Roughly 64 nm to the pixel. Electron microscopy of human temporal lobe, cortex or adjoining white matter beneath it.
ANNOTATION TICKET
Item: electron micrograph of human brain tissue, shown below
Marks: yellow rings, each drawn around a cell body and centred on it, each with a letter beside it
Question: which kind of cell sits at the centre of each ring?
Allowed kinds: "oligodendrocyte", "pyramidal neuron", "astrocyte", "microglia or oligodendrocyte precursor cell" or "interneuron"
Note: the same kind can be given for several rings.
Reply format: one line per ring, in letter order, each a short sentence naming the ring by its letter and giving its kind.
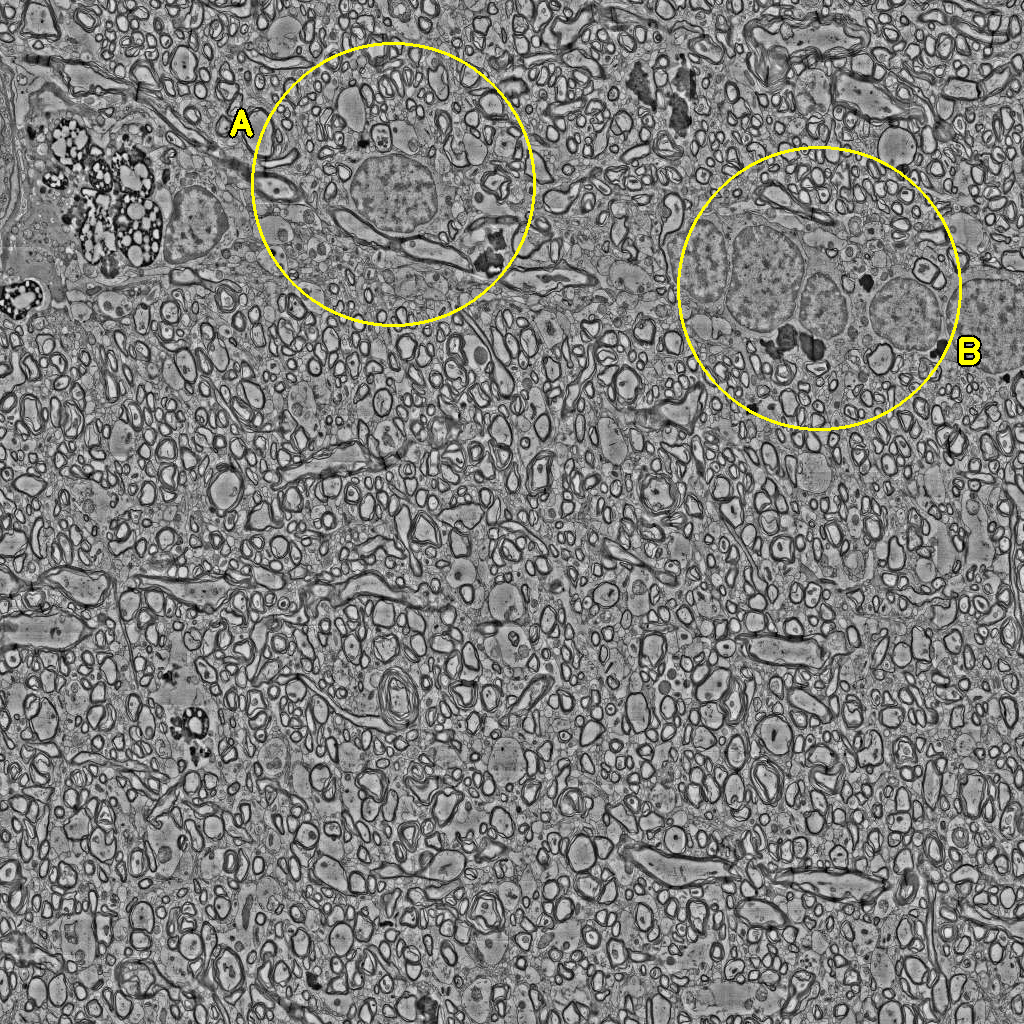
The cell at the centre of ring A is an oligodendrocyte.
The cell at the centre of ring B is an oligodendrocyte.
